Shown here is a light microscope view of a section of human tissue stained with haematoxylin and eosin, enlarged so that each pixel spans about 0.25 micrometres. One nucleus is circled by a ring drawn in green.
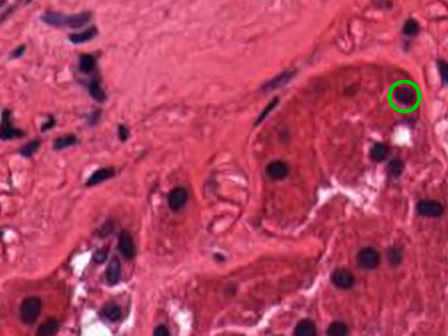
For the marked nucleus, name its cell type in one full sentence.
In this image, the nucleus that is marked belongs to a proximal tubule cell.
